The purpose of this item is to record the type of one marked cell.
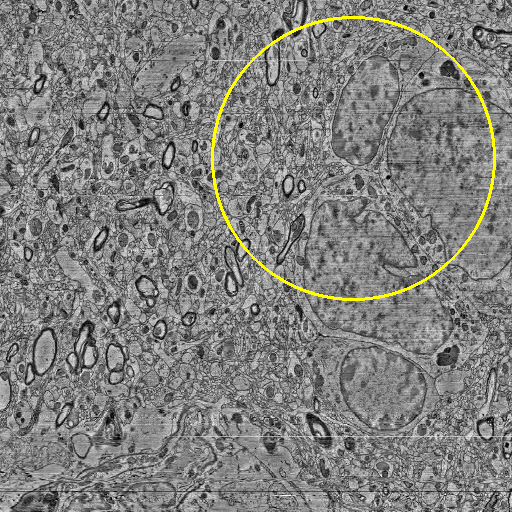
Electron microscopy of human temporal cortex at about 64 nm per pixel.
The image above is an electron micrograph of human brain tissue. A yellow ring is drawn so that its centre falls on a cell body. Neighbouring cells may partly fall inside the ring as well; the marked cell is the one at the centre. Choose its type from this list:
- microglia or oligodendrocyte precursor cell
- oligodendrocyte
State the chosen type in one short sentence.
What the ring marks here is a microglial cell or oligodendrocyte precursor cell.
